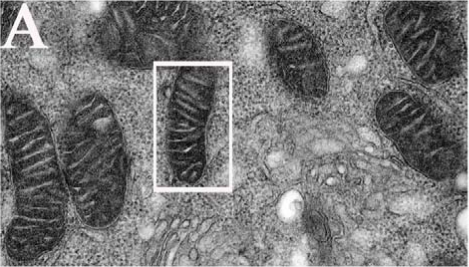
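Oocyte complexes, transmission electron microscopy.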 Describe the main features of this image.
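This is the cytoplasm of cumulus cells at high magnification, dominated by mitochondria. They are elongated, bean-shaped organelles with a dark matrix crossed by many parallel, transversely running pale cristae, each enclosed by a smooth continuous outer membrane. Between them lie small pale vesicles and membranes in a granular cytoplasm.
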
